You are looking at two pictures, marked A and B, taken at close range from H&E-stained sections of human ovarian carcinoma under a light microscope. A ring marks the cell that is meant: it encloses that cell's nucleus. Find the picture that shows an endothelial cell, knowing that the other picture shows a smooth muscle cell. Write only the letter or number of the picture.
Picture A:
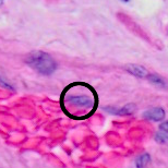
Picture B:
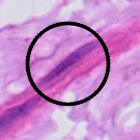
A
